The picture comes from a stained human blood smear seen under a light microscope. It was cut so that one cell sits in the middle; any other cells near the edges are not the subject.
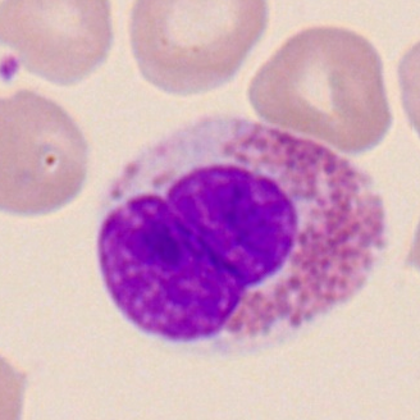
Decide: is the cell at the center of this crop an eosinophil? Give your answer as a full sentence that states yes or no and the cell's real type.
Yes, it is an eosinophil that lies in the middle.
